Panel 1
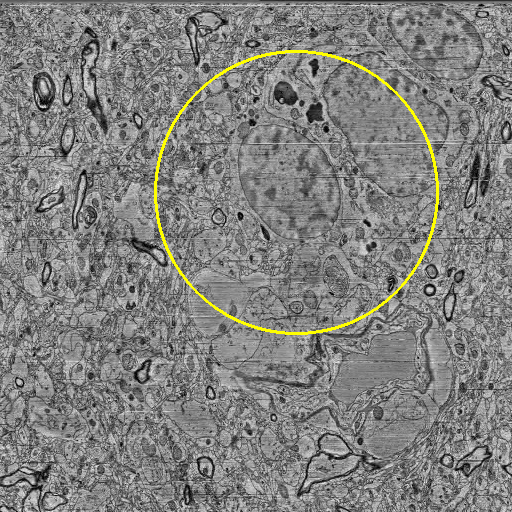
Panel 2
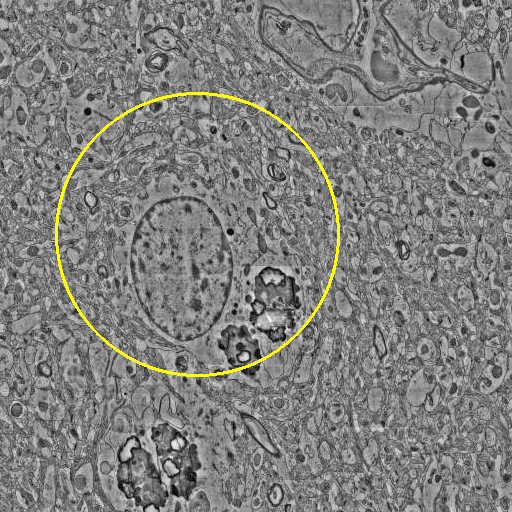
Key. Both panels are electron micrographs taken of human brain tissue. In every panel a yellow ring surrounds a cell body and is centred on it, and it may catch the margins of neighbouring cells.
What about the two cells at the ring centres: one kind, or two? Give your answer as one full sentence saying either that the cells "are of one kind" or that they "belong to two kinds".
Across Panels 1 and 2, the two cells at the ring centres belong to two kinds.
